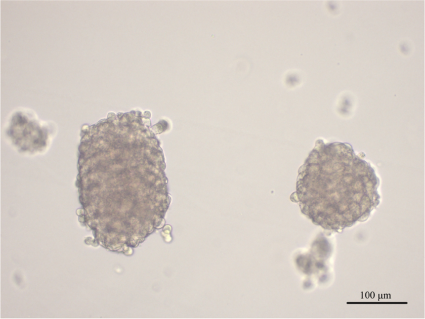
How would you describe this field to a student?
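Two large compact clusters, one oval and one round, are each built of many small, rounded, tightly packed cells with a slightly knobbly outer edge. A few single cells and small loose clumps lie scattered around them, and no cells are spread flat on a surface.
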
